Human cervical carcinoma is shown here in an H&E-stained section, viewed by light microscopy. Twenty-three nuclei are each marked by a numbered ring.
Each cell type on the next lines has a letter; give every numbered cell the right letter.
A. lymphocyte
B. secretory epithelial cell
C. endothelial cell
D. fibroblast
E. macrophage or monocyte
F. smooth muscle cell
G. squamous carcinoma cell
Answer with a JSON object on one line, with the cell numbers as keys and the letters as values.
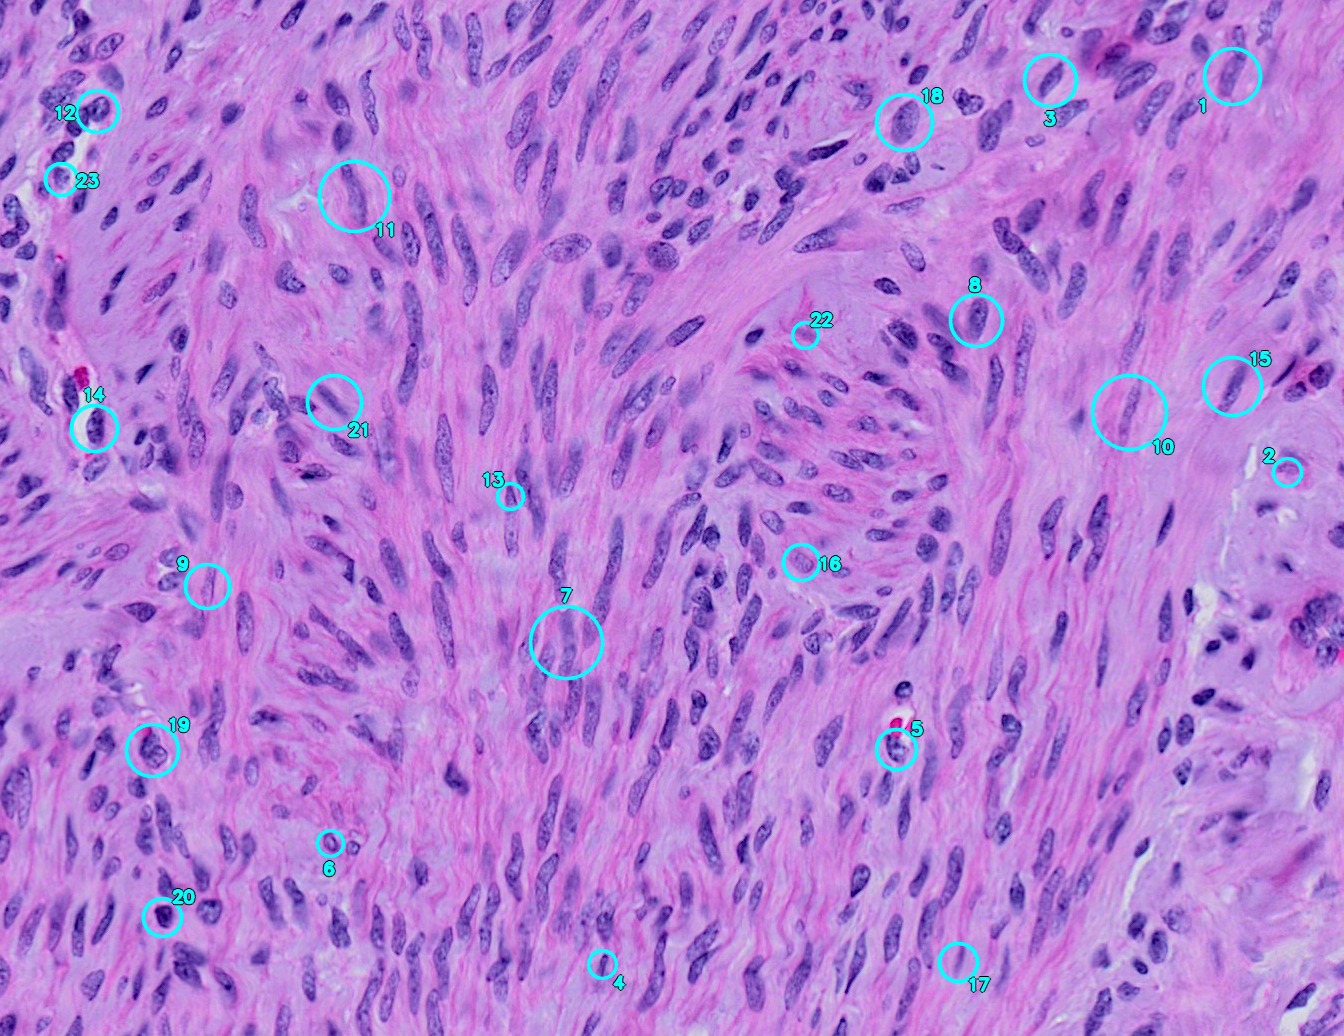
{"1": "F", "2": "C", "3": "D", "4": "F", "5": "C", "6": "F", "7": "F", "8": "D", "9": "F", "10": "F", "11": "F", "12": "C", "13": "F", "14": "C", "15": "D", "16": "F", "17": "F", "18": "D", "19": "C", "20": "A", "21": "D", "22": "F", "23": "C"}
